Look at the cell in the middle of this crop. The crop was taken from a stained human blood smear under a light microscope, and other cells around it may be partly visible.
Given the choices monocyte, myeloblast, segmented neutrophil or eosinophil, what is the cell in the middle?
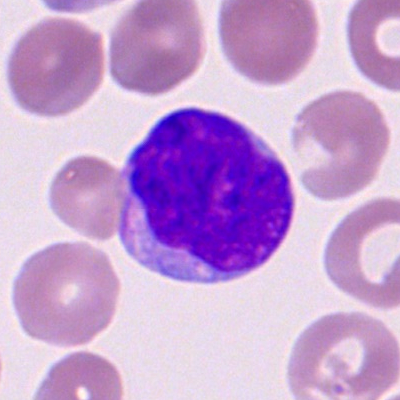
myeloblast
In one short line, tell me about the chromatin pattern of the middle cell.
Answer: the chromatin in this nucleus is coarsely clumped.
